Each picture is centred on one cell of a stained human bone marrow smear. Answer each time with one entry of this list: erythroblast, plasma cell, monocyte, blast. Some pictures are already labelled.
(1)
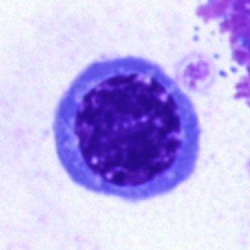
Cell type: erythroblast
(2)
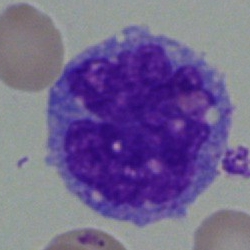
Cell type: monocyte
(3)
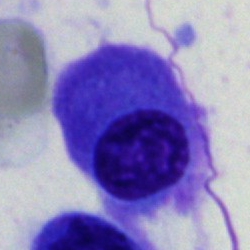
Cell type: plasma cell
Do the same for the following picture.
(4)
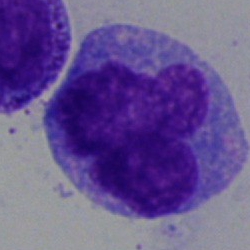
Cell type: monocyte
